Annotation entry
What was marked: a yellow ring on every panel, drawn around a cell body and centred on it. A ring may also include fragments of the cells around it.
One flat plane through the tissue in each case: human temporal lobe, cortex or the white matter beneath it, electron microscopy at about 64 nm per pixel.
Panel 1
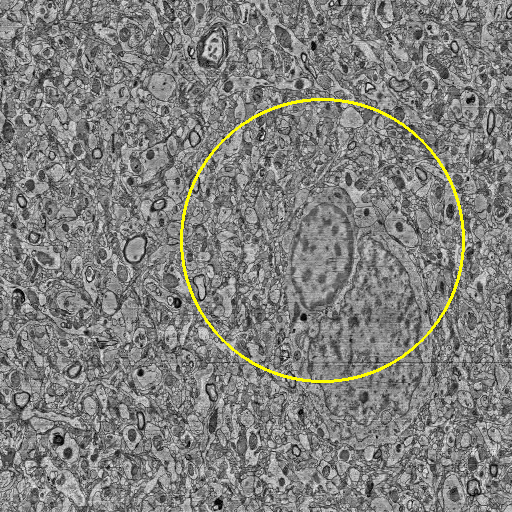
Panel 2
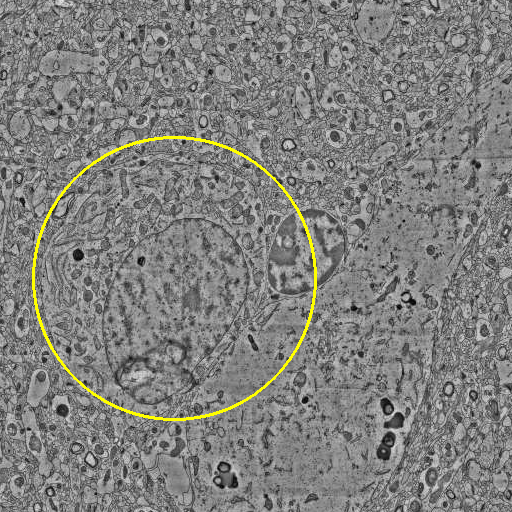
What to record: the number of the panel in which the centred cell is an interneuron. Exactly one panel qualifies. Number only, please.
2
